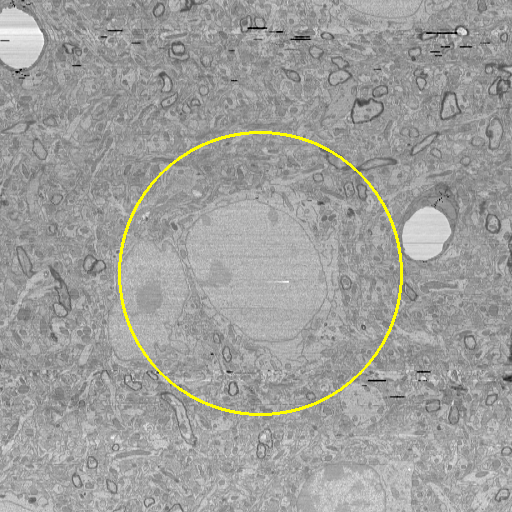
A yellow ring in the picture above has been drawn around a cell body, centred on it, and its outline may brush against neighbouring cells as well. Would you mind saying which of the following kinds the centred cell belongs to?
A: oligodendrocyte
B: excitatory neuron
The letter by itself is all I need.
B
